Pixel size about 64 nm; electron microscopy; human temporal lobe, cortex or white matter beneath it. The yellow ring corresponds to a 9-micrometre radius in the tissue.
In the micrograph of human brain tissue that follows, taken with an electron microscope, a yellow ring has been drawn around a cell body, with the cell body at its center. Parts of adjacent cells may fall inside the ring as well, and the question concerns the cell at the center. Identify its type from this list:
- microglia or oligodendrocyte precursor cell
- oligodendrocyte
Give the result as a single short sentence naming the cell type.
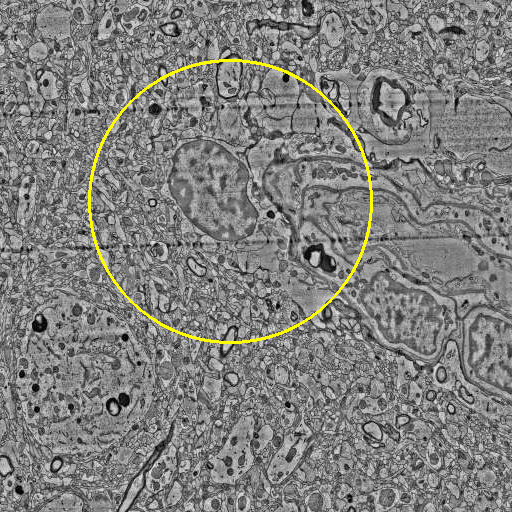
The ring is centered on a microglial cell or oligodendrocyte precursor cell.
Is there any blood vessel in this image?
Yes, one shows.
